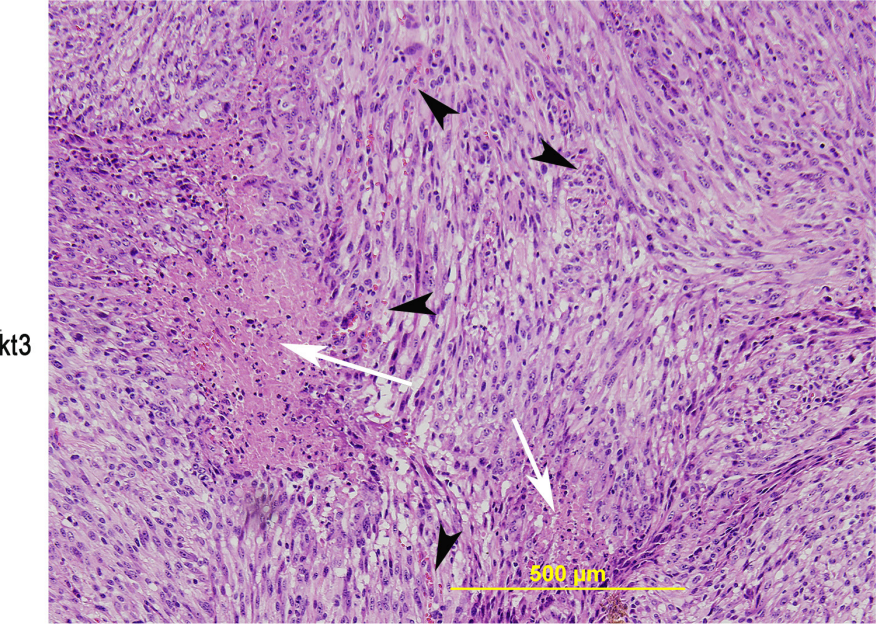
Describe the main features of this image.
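This hematoxylin and eosin section shows a densely cellular tumor made of spindle-shaped cells that run in sweeping streams and bundles. Their nuclei are elongated, dark purple and closely crowded, and they lie in pink cytoplasm. In several places the cell streams surround pale pink, sparsely cellular areas of necrosis. Small clear spaces and scattered denser clusters of cells are present among the bundles.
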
